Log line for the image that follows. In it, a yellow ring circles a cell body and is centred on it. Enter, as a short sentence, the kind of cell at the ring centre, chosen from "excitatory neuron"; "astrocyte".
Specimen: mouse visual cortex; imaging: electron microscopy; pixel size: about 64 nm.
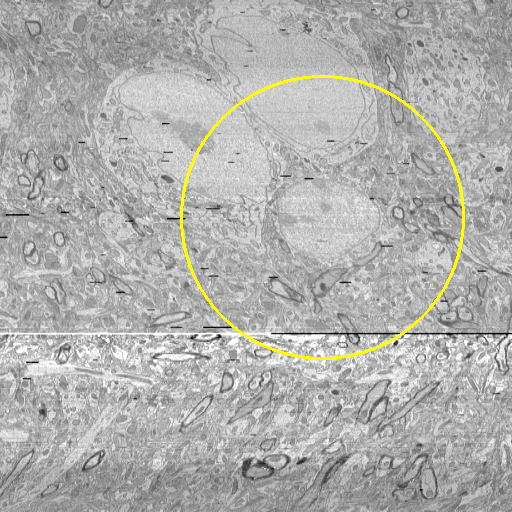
The ring centre is occupied by an astrocyte.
